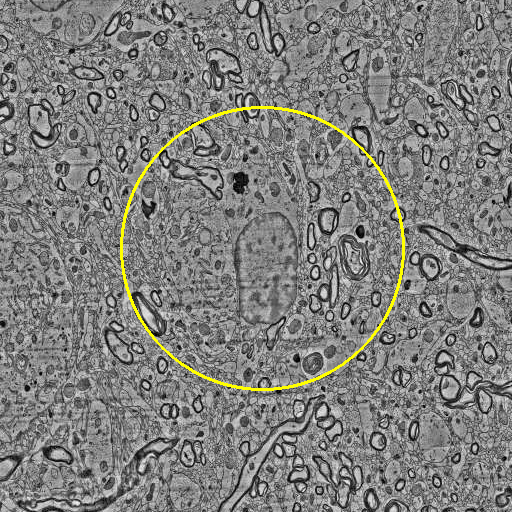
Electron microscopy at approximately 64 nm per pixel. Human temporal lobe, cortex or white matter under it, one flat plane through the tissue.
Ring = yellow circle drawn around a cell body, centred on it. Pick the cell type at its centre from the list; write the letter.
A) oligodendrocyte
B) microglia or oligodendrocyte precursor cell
A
